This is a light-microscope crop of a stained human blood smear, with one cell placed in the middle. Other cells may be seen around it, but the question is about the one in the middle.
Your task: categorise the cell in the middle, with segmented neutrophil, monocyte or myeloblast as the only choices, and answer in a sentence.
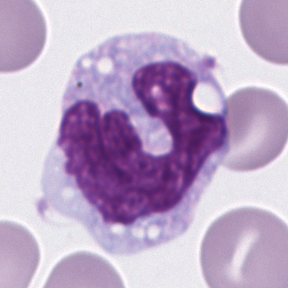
The cell nearest the centre of this crop is a monocyte.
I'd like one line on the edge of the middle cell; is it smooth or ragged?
The outer contour of the cell is irregular, with ragged portions or projections along it.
